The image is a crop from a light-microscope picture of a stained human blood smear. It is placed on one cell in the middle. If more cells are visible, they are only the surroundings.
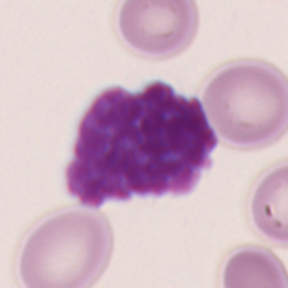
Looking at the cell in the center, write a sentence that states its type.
Occupying the centre of the crop is a smudge cell.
